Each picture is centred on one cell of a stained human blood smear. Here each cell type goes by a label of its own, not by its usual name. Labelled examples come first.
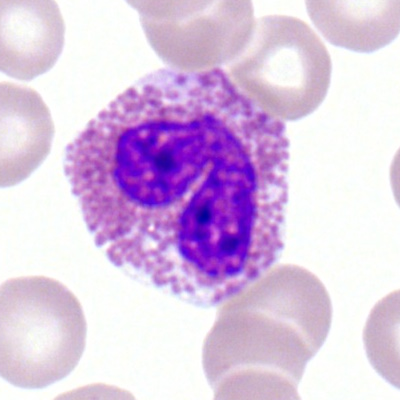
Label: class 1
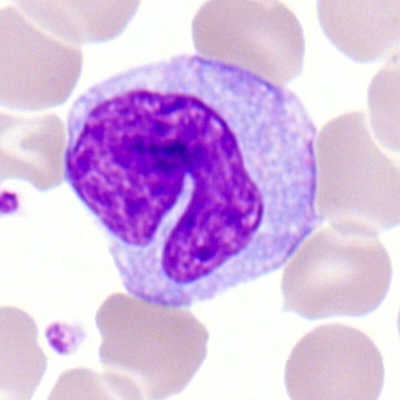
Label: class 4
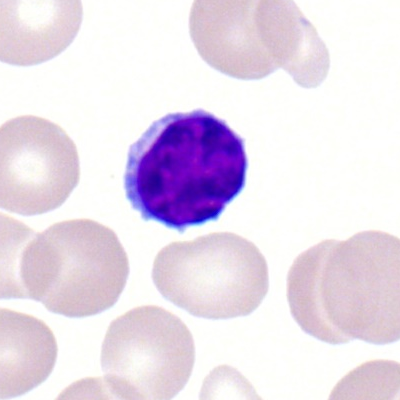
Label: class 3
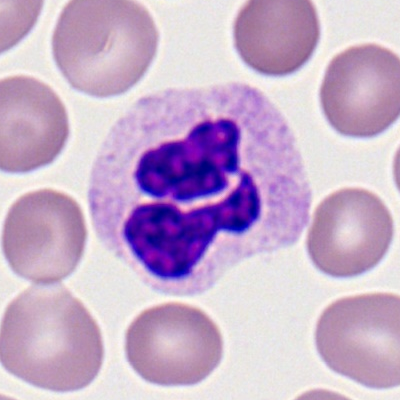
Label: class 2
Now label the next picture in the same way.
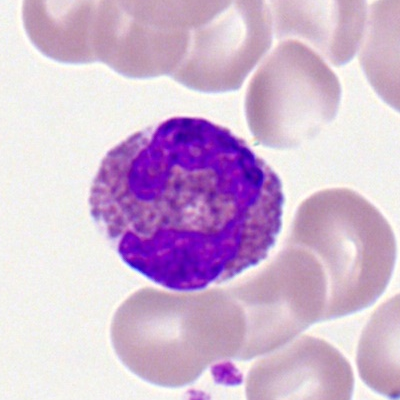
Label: class 1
